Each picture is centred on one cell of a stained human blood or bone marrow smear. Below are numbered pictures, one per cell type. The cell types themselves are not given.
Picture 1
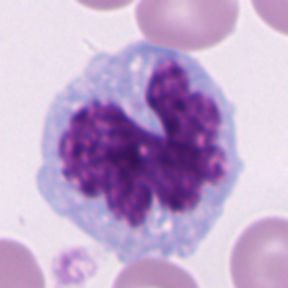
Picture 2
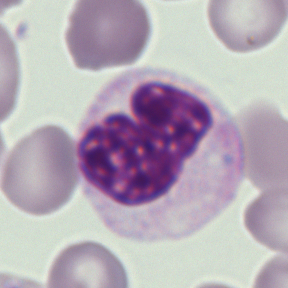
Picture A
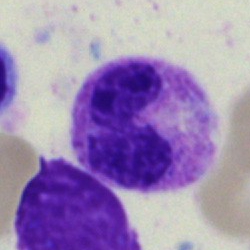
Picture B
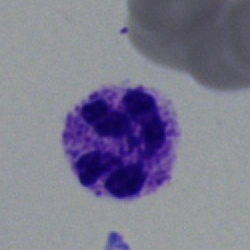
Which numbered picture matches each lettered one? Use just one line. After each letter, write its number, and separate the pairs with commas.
A 2, B 2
